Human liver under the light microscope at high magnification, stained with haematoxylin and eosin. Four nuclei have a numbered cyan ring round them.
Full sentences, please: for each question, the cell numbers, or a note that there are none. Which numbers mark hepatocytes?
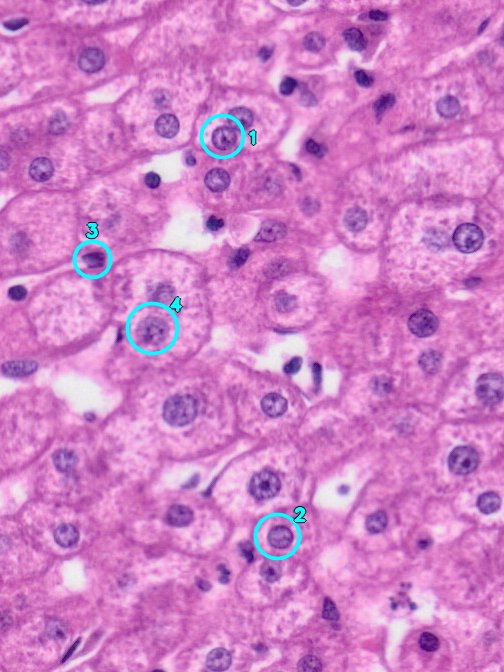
The numbers 1, 2 and 4 mark cells that are hepatocytes.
